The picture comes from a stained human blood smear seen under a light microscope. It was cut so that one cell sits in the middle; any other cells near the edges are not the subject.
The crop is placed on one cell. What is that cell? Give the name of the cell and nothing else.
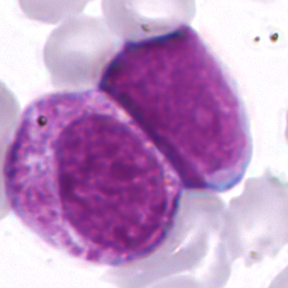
myelocyte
